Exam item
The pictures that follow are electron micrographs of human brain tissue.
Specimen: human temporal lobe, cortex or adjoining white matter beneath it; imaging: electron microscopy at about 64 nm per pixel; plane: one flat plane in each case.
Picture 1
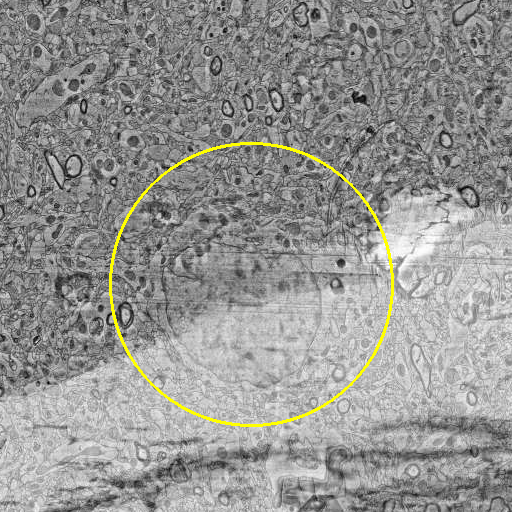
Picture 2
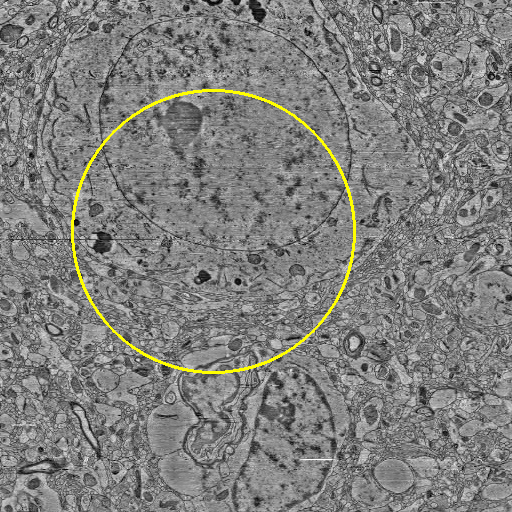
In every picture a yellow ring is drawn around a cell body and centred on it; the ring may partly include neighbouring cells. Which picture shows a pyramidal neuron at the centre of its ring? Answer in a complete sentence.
The cell at the centre of the ring in Picture 2 is the one asked for.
